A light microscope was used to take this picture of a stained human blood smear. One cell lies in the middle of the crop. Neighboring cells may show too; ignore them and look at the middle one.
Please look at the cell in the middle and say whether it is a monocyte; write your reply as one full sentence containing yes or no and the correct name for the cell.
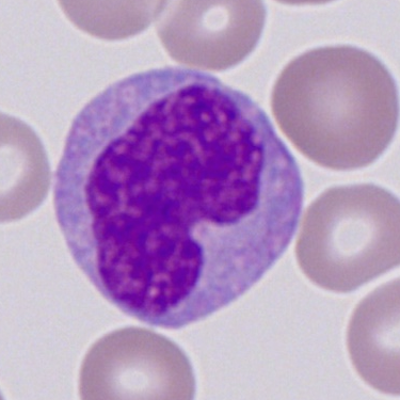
Yes, what sits in the middle of the crop is a monocyte.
